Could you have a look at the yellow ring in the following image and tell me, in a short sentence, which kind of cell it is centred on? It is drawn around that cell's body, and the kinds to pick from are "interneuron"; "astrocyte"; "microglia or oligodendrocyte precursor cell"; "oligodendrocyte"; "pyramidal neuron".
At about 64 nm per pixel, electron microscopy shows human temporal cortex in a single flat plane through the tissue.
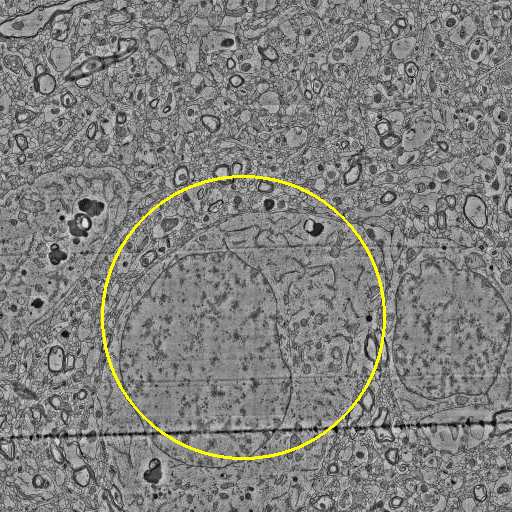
The ring is centred on the body of a pyramidal neuron.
